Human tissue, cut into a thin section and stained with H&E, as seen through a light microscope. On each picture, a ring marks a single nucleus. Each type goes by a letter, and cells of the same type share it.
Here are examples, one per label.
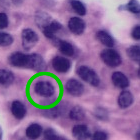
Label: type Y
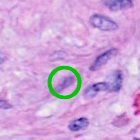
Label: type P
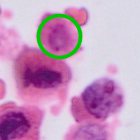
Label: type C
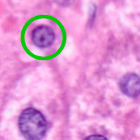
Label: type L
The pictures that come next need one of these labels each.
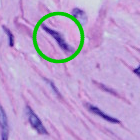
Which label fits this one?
type P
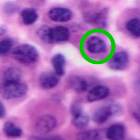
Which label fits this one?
type Y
